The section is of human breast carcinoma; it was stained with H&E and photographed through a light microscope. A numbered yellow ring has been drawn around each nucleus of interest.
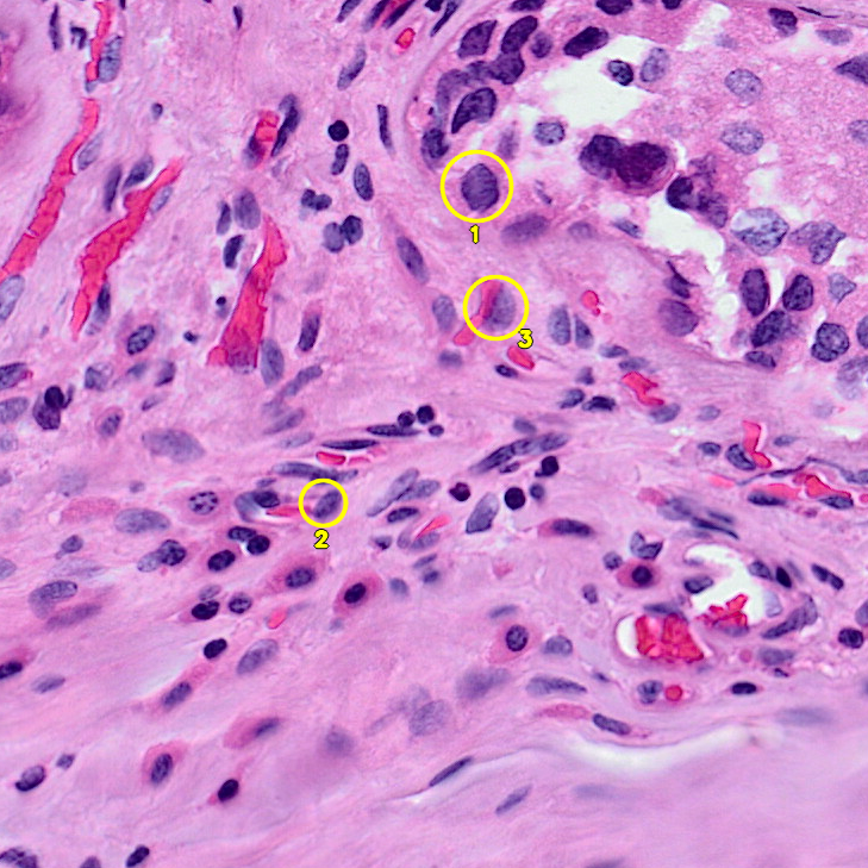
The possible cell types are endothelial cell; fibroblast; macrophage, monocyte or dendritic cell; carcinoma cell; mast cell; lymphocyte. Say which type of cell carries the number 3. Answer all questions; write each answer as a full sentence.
Regarding cell 3, this one is an endothelial cell.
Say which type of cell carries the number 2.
Regarding cell 2, this one is an endothelial cell.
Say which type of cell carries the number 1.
The cell tagged with 1 in this tissue section is a carcinoma cell.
